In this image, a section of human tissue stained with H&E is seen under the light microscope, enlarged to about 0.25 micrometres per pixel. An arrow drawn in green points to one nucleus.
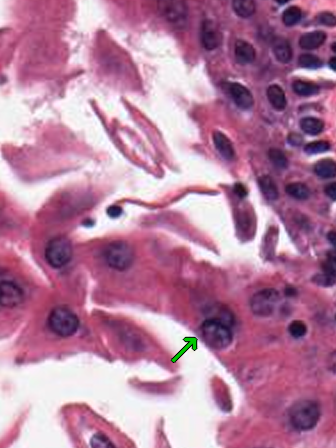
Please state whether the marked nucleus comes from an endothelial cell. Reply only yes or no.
no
